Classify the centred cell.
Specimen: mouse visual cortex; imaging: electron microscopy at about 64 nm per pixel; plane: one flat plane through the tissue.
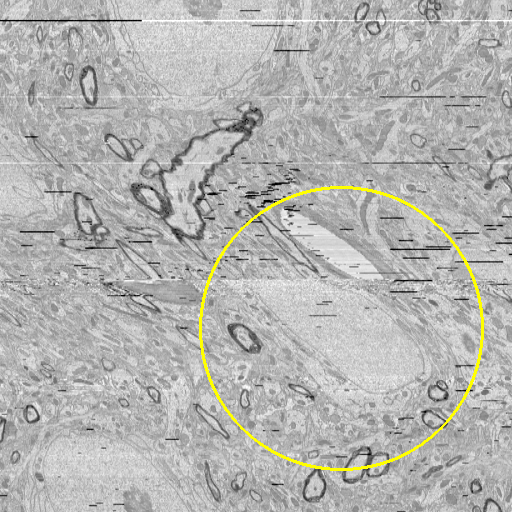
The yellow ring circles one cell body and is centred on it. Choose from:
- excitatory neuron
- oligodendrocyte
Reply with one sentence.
The ring is centred on an excitatory neuron.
